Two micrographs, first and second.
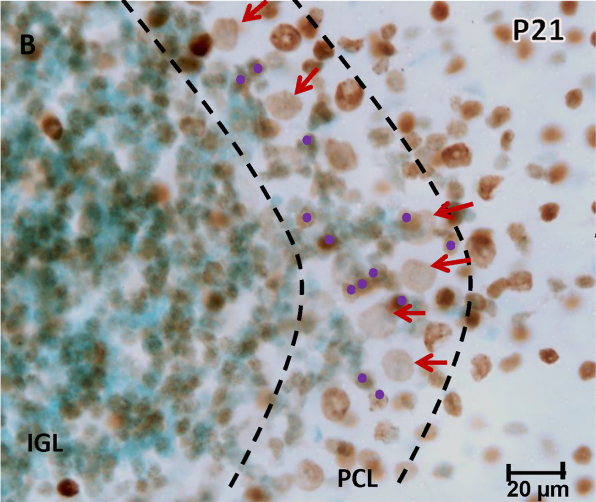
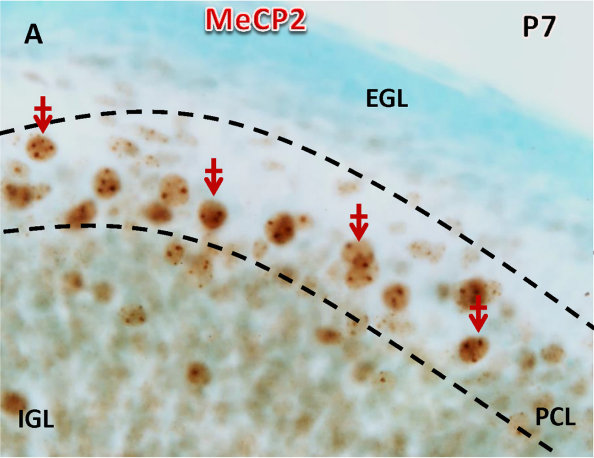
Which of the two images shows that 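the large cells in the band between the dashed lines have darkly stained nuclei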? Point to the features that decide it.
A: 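The second image. First image: the large round nuclei marked by arrows are pale, only faintly brown. Second image: the large round nuclei marked by arrows are dark brown with dark granules.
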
